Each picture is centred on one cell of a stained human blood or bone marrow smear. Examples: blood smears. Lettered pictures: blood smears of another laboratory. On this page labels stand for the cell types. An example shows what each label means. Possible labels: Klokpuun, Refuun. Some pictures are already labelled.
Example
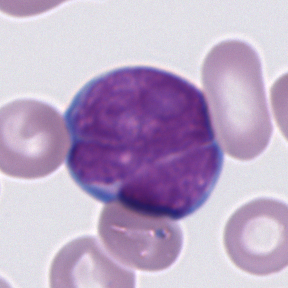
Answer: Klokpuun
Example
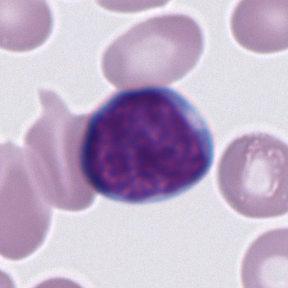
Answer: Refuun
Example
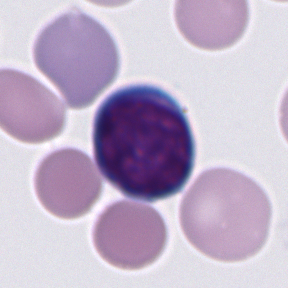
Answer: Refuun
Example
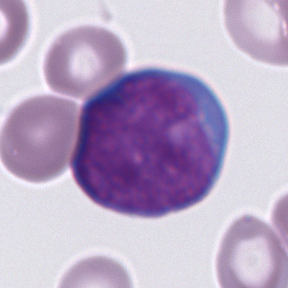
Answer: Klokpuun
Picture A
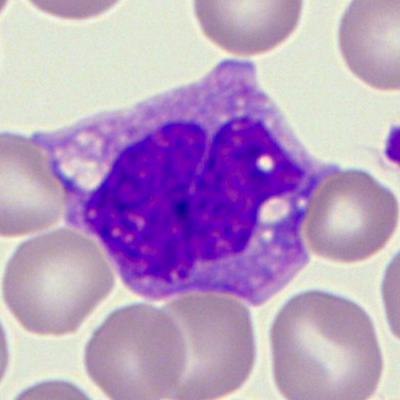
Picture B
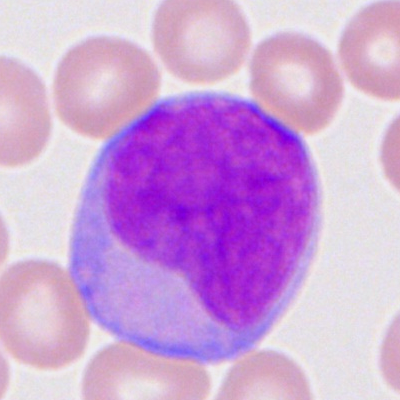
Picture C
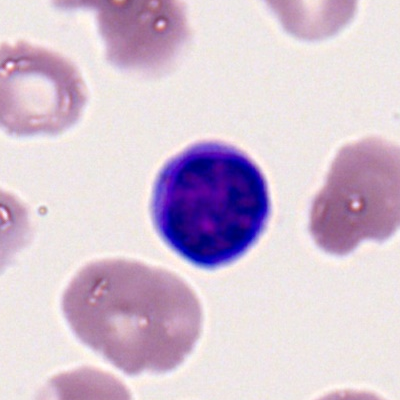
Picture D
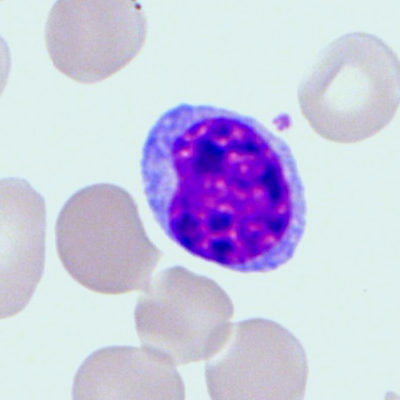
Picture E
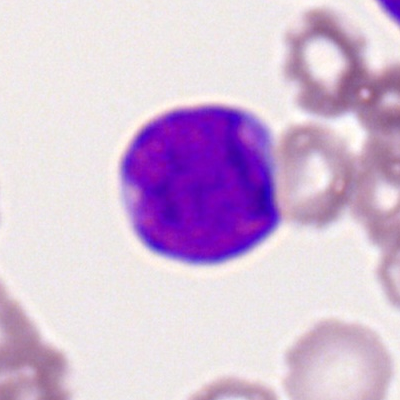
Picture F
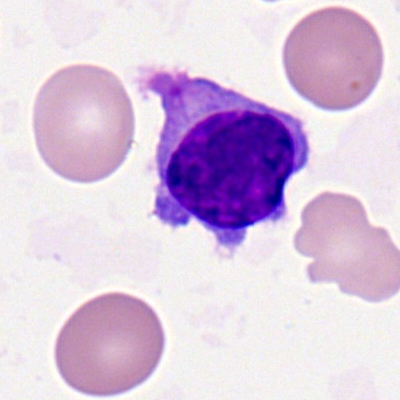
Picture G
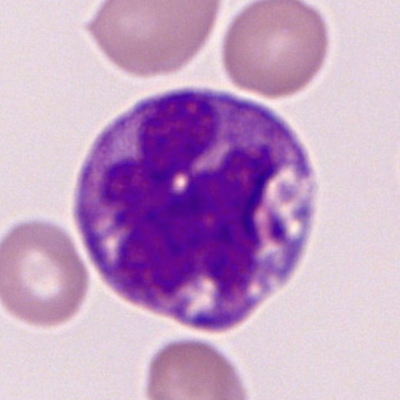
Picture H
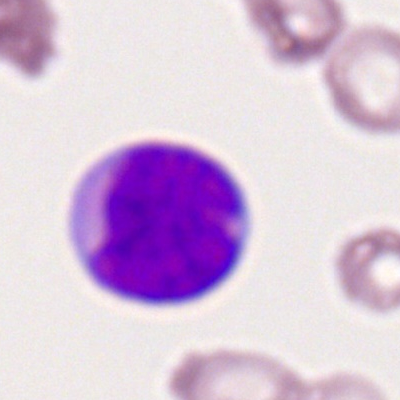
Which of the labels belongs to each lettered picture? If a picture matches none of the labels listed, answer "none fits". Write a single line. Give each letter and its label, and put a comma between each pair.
A none fits, B Klokpuun, C Refuun, D Refuun, E Klokpuun, F Refuun, G none fits, H Klokpuun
